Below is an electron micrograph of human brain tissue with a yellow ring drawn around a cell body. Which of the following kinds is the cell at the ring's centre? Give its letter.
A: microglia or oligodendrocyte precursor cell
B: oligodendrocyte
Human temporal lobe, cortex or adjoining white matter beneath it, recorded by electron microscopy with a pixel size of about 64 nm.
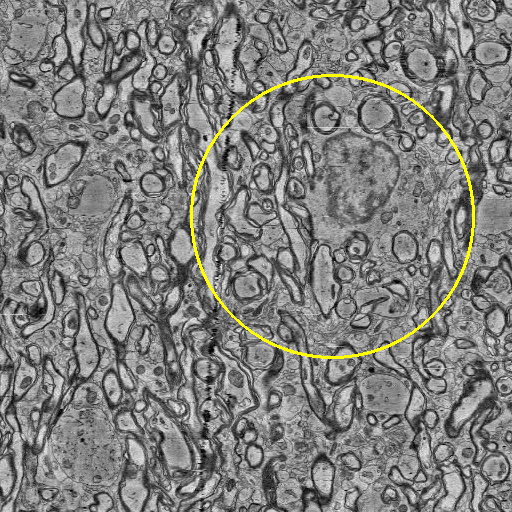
B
